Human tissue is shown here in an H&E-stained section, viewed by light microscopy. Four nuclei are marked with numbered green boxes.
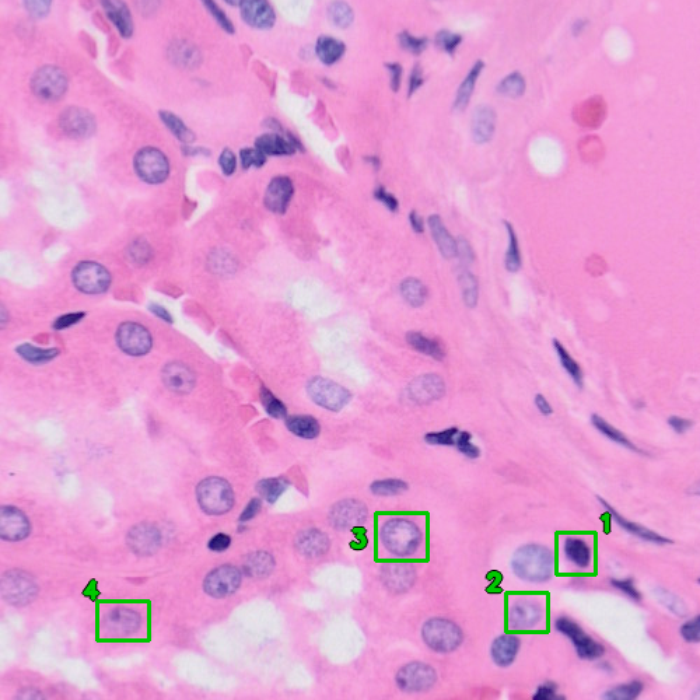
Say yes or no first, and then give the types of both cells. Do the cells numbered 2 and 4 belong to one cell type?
No, cell 2 is a collecting duct cell and cell 4 is a proximal tubule cell.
